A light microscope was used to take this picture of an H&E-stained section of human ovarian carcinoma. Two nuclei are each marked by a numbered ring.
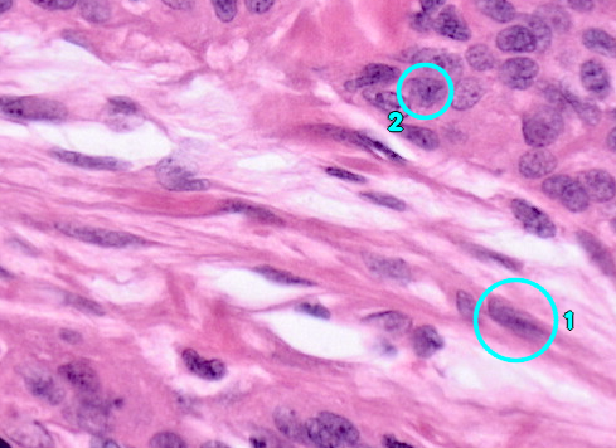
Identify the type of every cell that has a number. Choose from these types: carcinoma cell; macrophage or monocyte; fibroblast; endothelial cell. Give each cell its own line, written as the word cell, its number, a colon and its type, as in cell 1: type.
cell 1: fibroblast
cell 2: carcinoma cell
